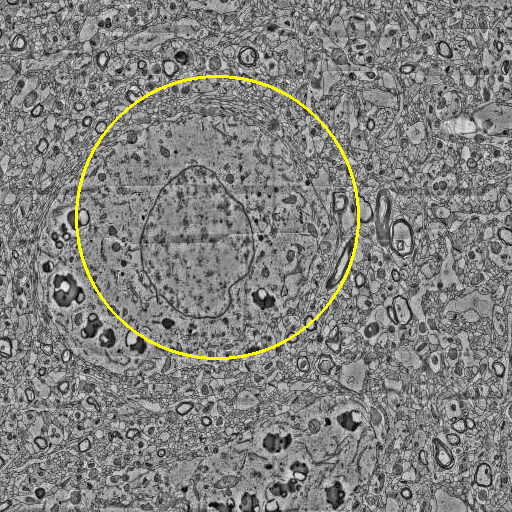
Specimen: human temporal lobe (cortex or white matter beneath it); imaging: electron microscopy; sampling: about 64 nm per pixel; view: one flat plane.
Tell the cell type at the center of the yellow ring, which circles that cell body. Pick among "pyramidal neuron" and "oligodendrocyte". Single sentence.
The ring is centered on the body of a pyramidal neuron.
